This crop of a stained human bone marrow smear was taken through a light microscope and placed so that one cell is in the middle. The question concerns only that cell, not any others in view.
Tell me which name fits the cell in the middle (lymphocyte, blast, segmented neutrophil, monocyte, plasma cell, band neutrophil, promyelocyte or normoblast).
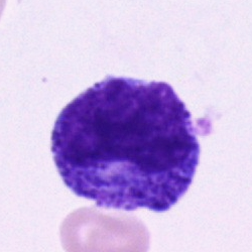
promyelocyte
